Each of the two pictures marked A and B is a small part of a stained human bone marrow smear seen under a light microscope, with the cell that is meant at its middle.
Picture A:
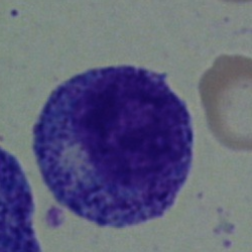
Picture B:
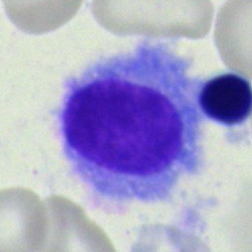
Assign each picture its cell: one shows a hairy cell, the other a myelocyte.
A: myelocyte
B: hairy cell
